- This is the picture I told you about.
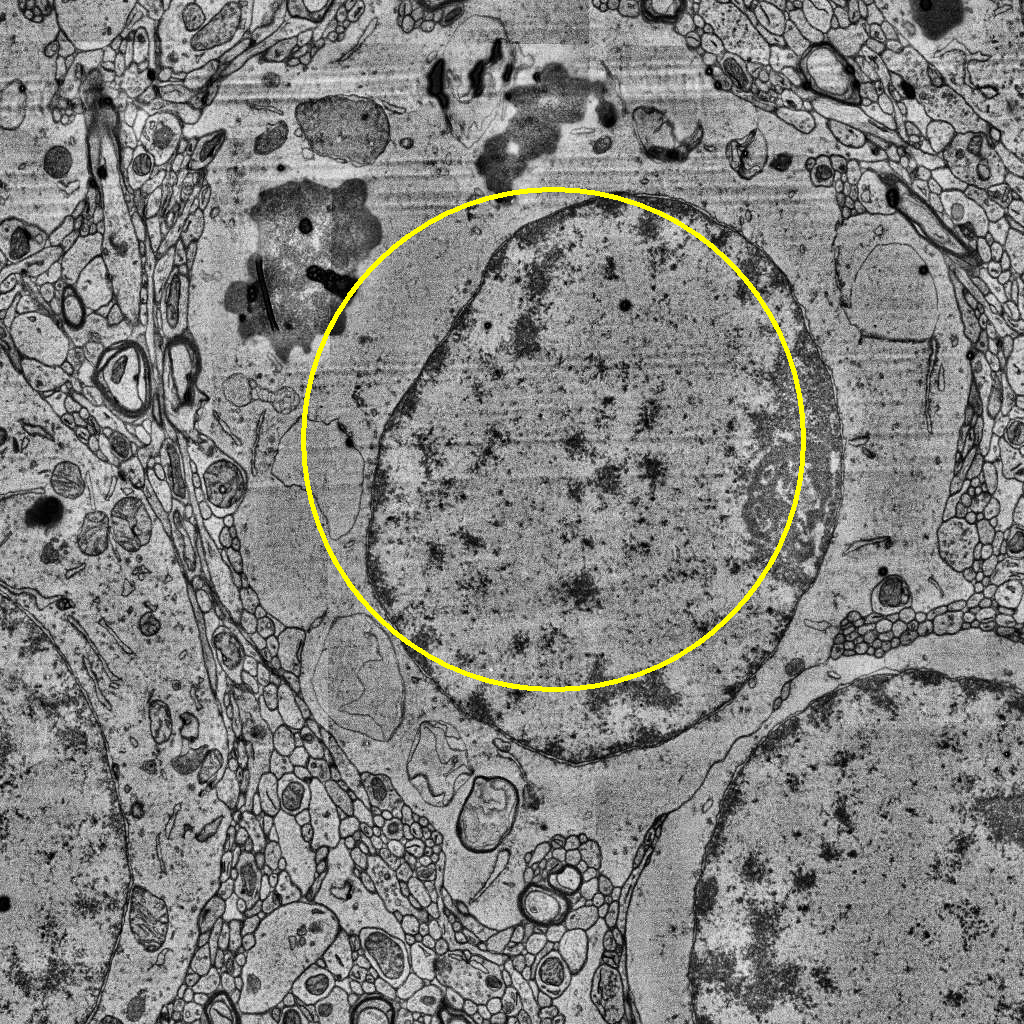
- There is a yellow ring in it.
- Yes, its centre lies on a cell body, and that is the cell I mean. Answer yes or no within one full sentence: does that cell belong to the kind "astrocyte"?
Yes, that cell, the one where the yellow ring's centre lies, belongs to this kind.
